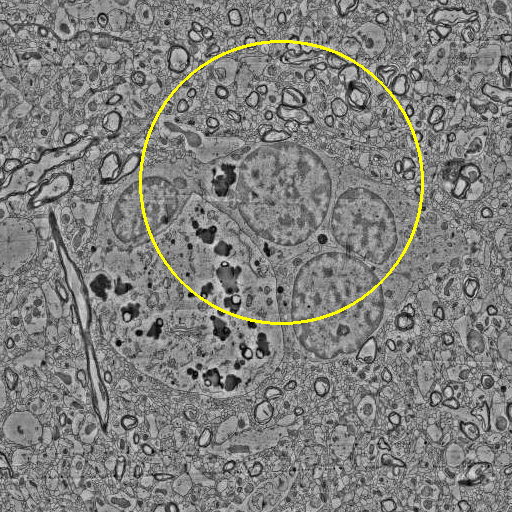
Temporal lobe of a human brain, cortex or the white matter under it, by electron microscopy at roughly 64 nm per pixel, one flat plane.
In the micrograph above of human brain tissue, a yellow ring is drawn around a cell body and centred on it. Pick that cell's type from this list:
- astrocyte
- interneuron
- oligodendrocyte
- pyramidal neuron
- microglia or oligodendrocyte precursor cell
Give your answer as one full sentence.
Going by the list, an oligodendrocyte is the cell on which the yellow ring is centred.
